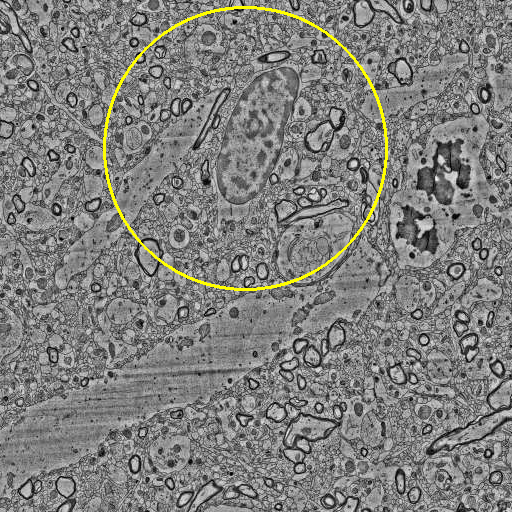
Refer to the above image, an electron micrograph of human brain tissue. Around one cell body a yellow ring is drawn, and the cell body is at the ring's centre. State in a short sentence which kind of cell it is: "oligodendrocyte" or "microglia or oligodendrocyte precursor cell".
The centre of the ring falls on a microglial cell or oligodendrocyte precursor cell.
